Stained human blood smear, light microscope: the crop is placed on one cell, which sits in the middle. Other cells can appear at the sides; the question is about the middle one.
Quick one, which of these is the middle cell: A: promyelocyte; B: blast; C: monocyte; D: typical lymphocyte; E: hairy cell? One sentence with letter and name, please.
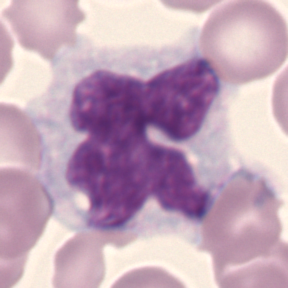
Answer key: option C, the middle cell being a monocyte.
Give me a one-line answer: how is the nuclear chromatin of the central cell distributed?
Answer: the chromatin is fine and has no coarse clumps.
